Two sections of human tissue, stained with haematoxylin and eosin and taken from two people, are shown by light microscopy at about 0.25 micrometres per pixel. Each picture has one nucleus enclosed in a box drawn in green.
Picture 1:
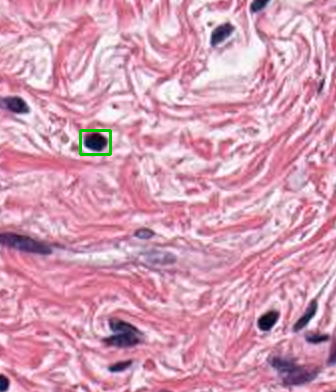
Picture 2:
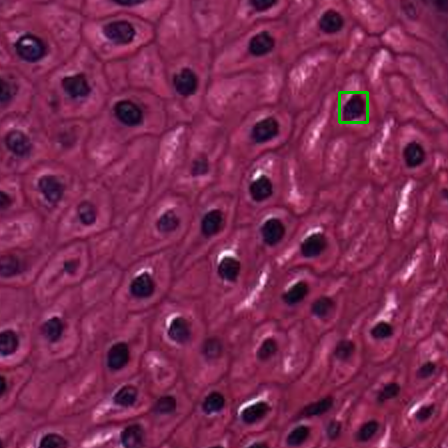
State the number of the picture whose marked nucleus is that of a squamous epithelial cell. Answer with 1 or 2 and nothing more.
2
